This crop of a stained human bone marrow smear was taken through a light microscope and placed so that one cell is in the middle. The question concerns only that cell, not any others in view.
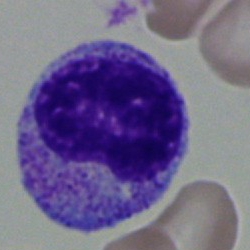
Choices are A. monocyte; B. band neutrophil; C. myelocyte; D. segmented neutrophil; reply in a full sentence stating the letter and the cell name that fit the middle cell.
The cell at the centre is a myelocyte, and option C accordingly is correct.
